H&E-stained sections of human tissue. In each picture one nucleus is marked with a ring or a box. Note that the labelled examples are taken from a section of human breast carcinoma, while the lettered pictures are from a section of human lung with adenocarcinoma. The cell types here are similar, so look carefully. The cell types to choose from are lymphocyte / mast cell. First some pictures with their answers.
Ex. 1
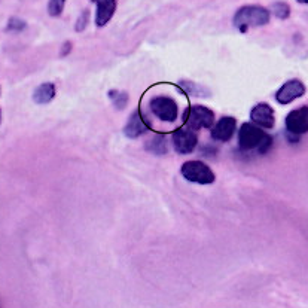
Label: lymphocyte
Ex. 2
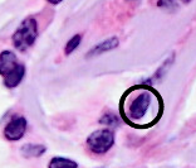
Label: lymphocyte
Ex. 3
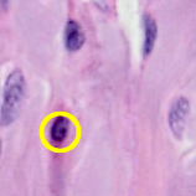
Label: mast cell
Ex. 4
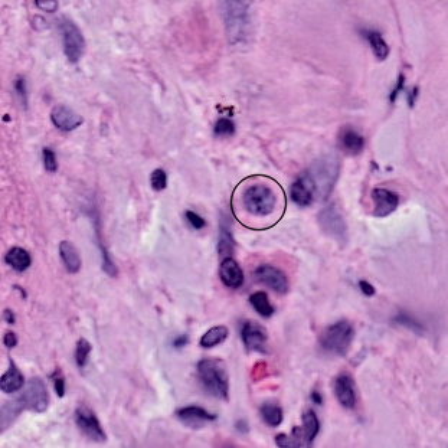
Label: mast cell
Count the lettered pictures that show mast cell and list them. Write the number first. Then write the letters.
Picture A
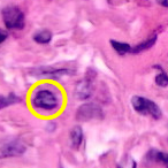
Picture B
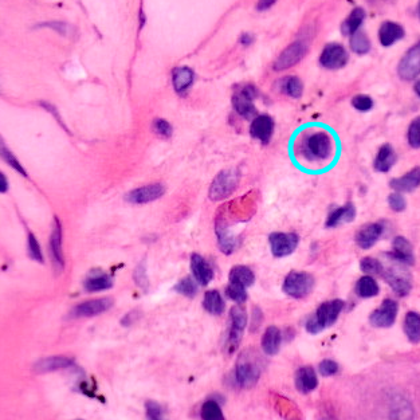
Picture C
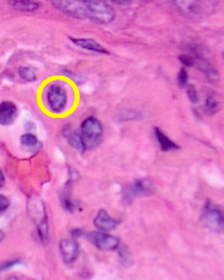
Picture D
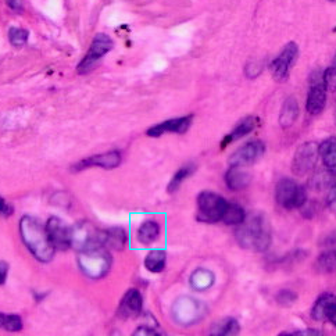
3: A, C, D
